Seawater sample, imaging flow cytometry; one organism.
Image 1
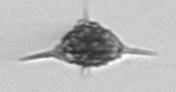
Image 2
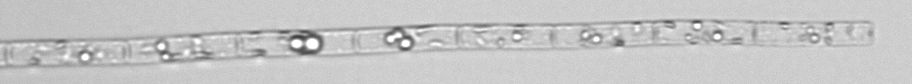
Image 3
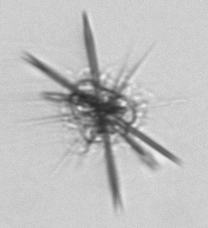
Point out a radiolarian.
That is picture 3.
